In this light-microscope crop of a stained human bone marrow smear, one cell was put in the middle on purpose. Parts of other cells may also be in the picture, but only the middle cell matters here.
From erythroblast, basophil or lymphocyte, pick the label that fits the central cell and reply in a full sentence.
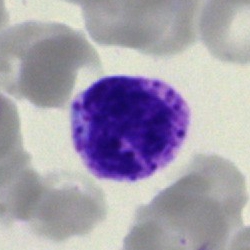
The central cell in this smear crop is a basophil.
